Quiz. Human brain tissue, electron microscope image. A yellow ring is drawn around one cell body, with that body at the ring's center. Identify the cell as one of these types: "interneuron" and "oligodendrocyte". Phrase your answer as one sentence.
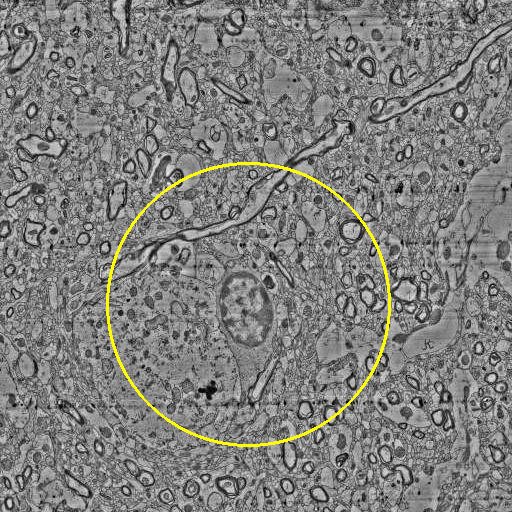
At the center of the ring sits an oligodendrocyte.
